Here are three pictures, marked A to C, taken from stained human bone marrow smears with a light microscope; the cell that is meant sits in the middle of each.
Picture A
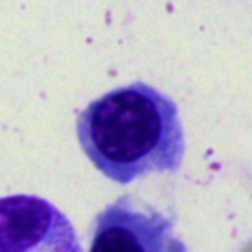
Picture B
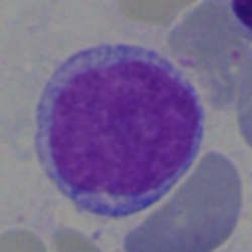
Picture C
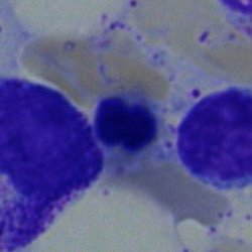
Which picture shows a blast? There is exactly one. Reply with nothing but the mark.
B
